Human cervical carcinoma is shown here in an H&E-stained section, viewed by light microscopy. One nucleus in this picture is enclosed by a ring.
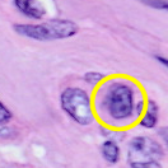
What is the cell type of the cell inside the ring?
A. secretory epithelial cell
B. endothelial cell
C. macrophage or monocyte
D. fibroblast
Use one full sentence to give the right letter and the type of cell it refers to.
The correct pick is option B; the cell inside the ring is an endothelial cell.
